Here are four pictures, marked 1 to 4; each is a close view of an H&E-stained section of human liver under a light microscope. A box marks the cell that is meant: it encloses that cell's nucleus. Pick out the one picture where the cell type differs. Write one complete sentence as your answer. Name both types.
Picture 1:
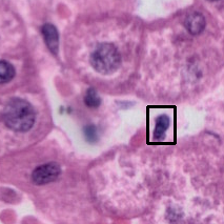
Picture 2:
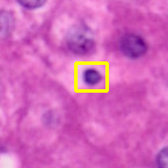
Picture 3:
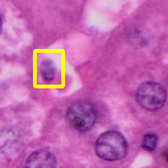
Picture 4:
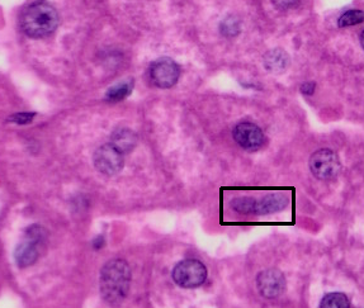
Unlike the rest, which show lymphocytes, picture 4 shows a Kupffer cell.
